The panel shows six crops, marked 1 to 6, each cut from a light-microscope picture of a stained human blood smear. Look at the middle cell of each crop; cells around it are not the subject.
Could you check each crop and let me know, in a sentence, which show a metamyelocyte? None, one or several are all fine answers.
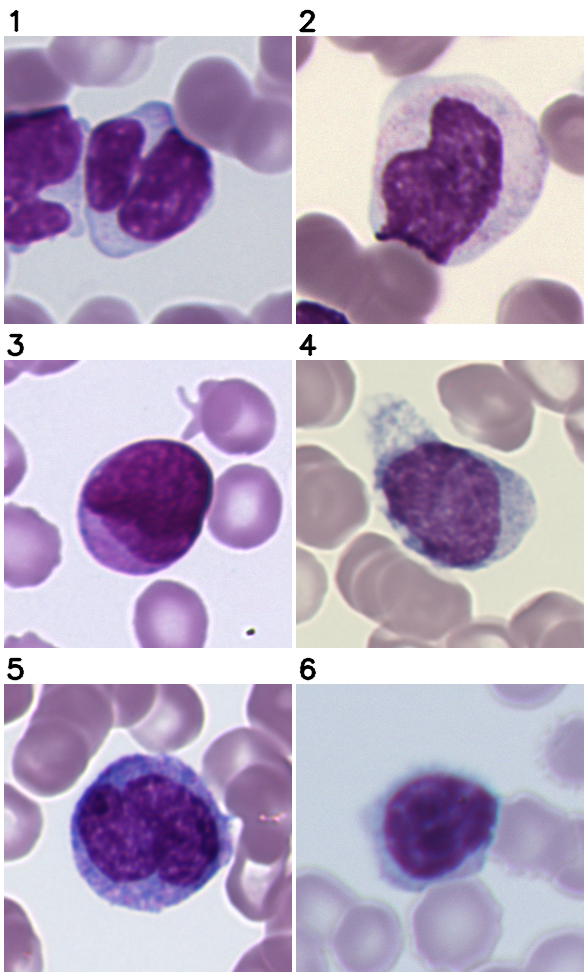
In this set, a metamyelocyte turns up only in crop 2.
